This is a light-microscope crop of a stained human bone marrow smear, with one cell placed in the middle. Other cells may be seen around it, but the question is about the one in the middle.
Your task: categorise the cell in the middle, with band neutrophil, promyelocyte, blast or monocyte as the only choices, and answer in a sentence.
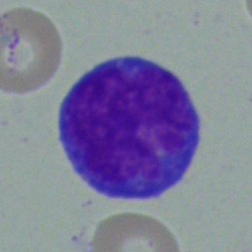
Among the cells in view, the one in the middle is a blast.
